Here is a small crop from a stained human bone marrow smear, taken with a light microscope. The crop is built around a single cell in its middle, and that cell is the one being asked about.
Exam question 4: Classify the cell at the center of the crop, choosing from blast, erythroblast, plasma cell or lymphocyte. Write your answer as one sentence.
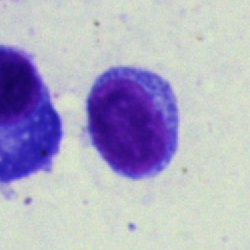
The cell occupying the middle of the crop is a lymphocyte.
